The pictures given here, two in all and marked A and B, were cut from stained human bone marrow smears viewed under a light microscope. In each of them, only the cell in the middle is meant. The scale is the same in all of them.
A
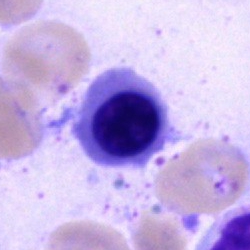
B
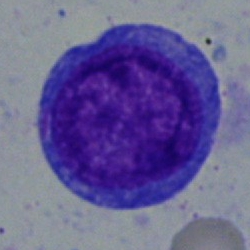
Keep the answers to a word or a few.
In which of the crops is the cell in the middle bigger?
B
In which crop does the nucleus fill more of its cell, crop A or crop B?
B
